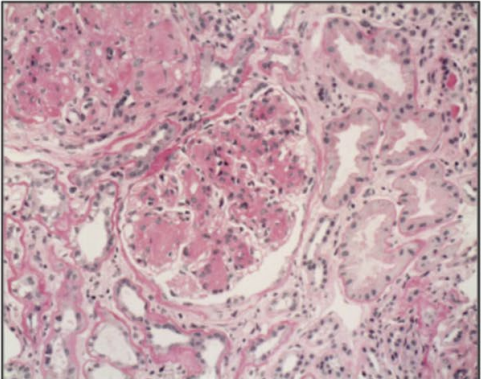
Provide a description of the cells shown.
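This is a glomerulus in kidney cortex, surrounded by tubules and interstitium. Its tuft is divided into rounded lobules whose centres are filled with abundant pink mesangial matrix, so that the capillary loops are narrowed and pushed to the rim of each lobule. Part of a second glomerulus with similar pink lobules is seen at the upper left.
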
